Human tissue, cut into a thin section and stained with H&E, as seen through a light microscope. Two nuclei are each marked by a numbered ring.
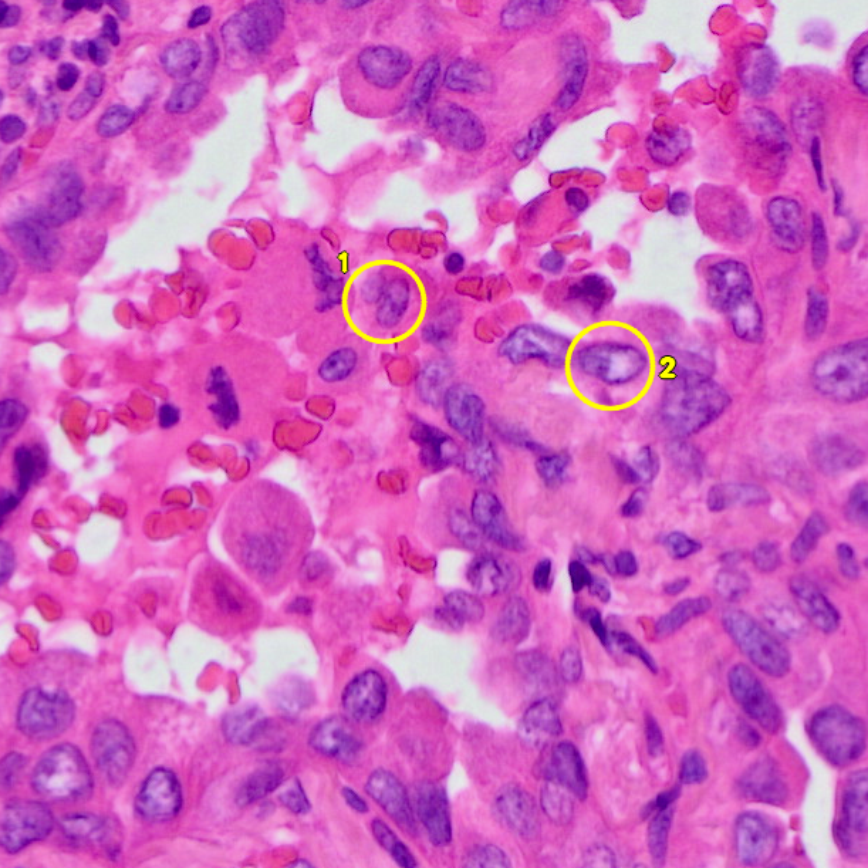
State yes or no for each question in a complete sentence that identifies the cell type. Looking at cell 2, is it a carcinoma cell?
Yes, the numbered cell 2 is a carcinoma cell.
